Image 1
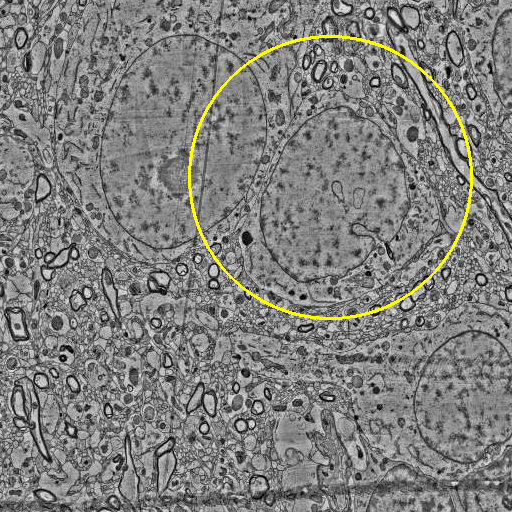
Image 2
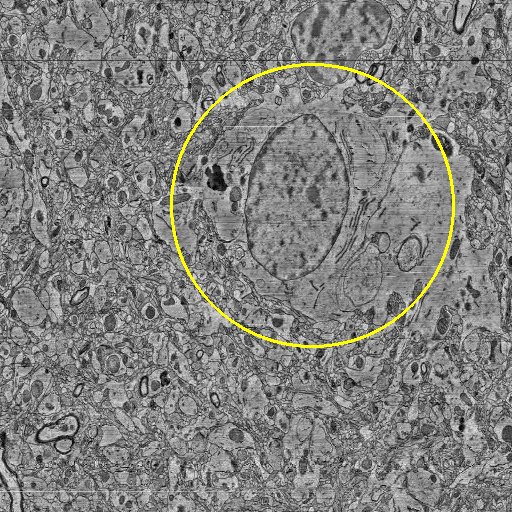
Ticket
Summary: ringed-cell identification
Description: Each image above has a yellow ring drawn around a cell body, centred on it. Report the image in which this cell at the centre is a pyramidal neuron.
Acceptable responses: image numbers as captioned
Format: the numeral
1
